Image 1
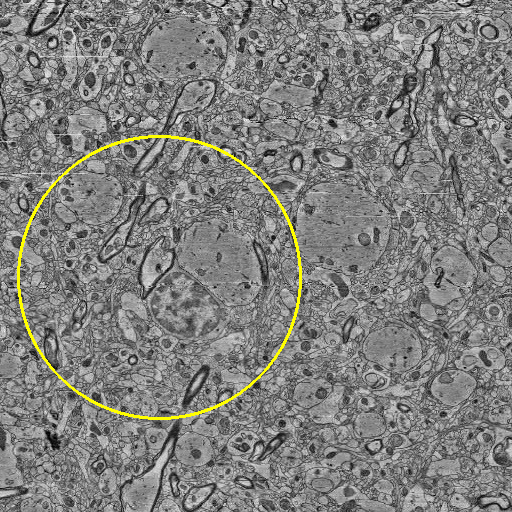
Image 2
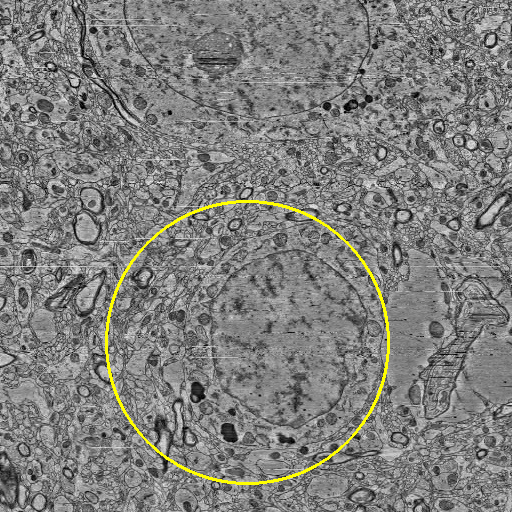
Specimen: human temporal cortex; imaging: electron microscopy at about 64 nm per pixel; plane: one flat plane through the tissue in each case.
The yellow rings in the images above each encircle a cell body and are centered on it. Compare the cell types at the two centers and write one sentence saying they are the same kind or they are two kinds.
Taken together, the two cells at the ring centers are two kinds.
